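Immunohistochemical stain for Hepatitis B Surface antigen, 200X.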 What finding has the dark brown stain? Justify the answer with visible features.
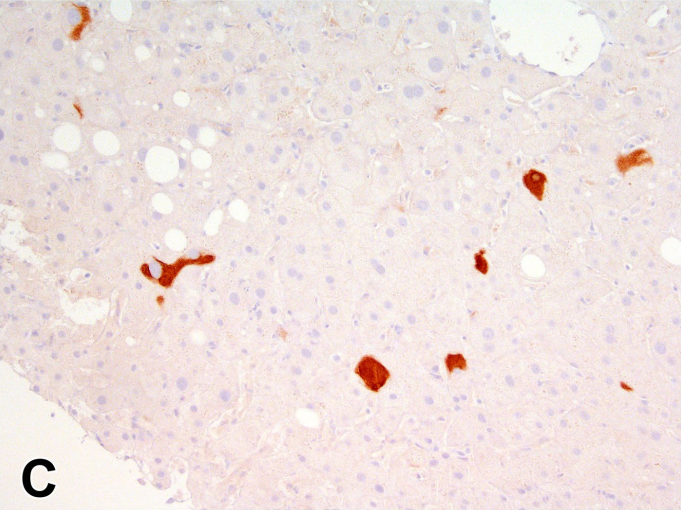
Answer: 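Inclusion-like. A few scattered cells are filled with dense dark brown stain. Most surrounding cells are unstained.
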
